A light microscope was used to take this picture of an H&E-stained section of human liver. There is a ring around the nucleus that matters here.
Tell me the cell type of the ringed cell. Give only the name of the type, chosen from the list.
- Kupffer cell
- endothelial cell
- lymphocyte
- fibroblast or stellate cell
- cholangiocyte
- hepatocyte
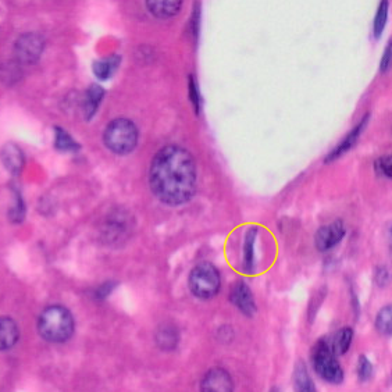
fibroblast or stellate cell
